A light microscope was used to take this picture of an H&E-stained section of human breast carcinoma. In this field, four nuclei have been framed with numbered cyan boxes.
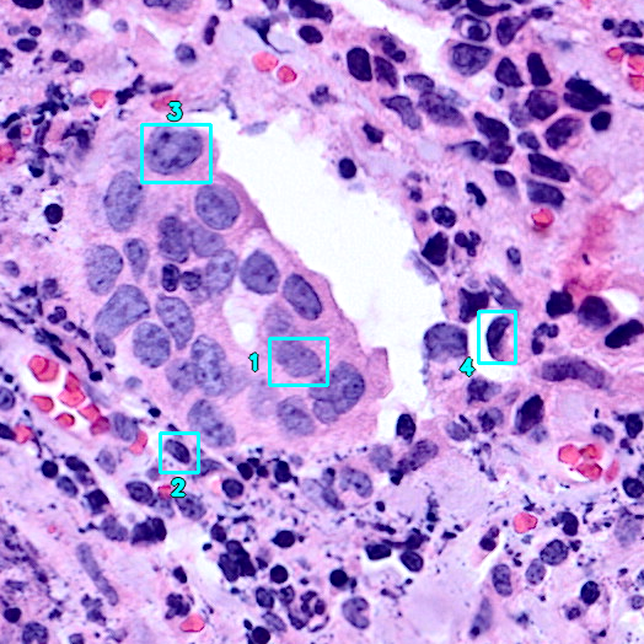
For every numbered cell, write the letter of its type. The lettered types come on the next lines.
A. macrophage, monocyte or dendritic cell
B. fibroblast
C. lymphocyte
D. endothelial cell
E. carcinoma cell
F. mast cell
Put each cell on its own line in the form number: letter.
1: E
2: C
3: E
4: E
